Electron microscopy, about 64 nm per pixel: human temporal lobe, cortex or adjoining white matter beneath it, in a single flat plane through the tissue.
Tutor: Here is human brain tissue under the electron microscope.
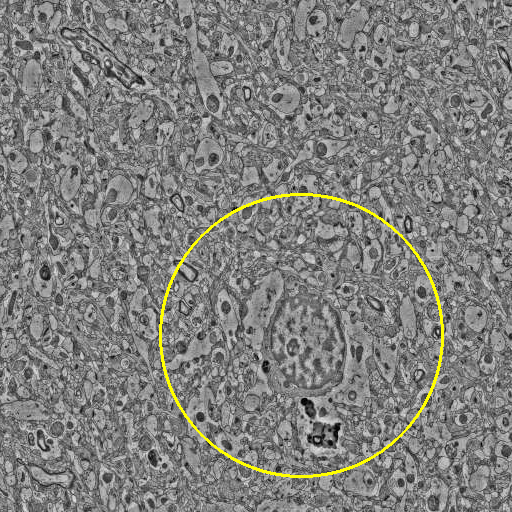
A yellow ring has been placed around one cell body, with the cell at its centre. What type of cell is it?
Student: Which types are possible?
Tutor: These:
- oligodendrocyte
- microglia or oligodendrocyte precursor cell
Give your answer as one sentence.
What the ring picks out here is an oligodendrocyte.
